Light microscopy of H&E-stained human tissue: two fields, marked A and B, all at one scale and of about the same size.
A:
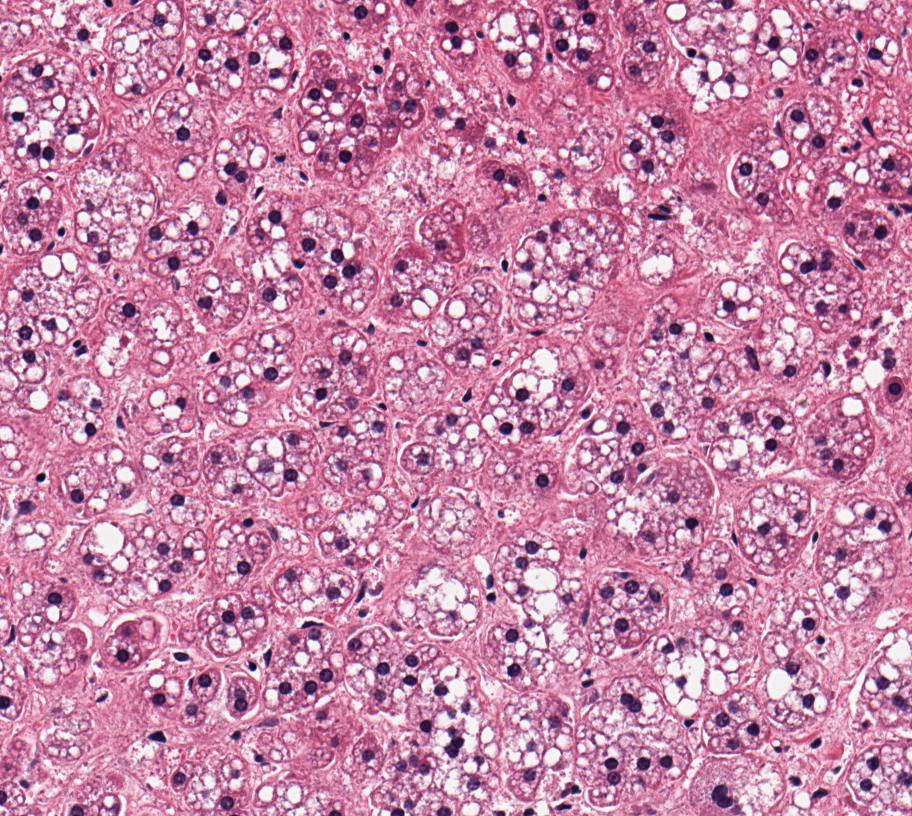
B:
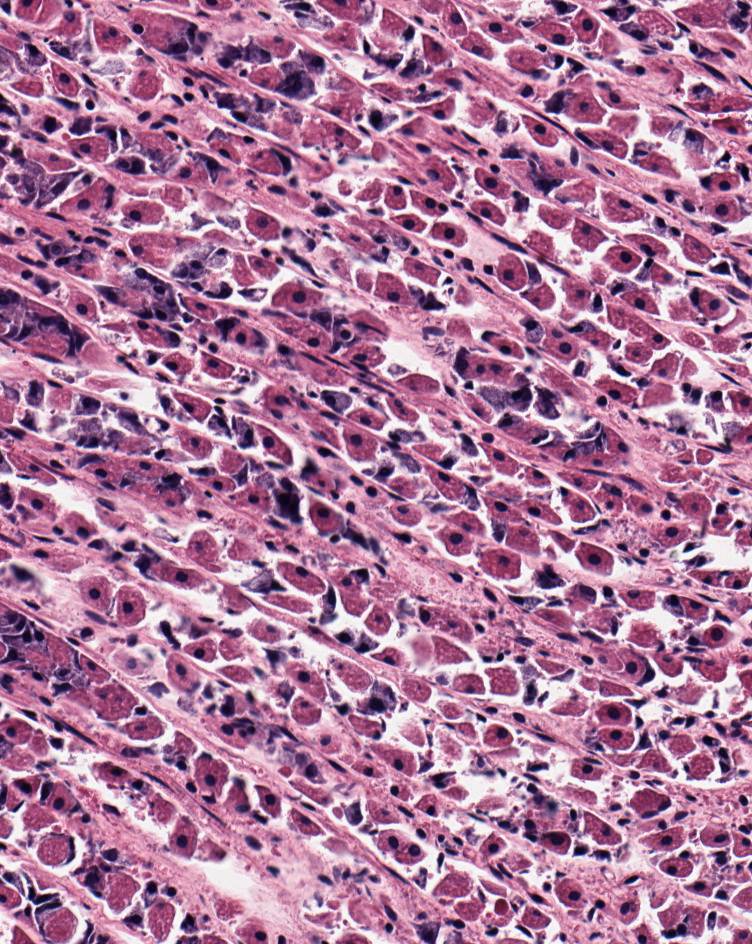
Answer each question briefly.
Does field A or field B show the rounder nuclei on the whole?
A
